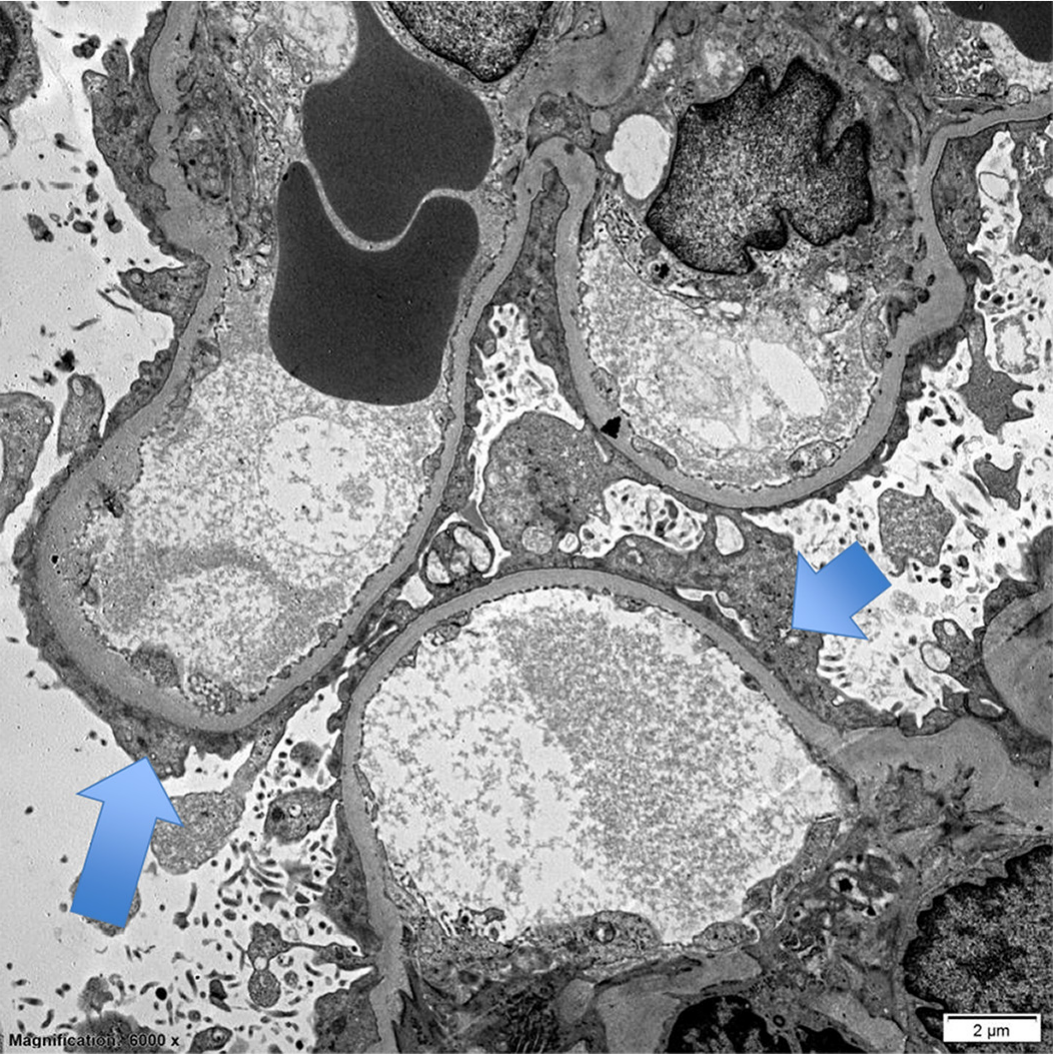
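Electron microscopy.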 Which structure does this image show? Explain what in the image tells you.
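Rounded capillary loops, some holding red blood cells, are lined by a smooth grey basement membrane. Epithelial cytoplasm covers the outer side of the basement membrane, facing an open space with cell fragments.
Conclusion: glomerular filtration barrier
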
